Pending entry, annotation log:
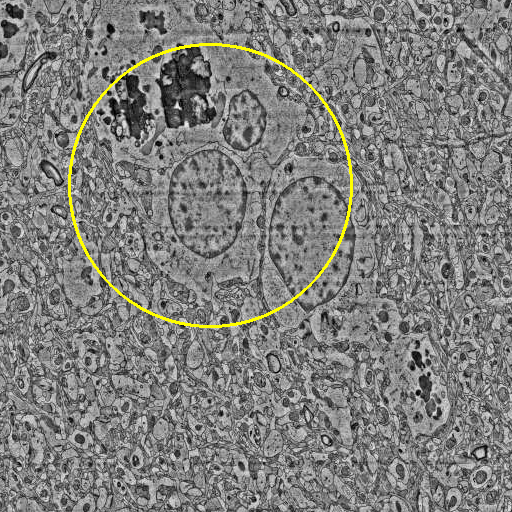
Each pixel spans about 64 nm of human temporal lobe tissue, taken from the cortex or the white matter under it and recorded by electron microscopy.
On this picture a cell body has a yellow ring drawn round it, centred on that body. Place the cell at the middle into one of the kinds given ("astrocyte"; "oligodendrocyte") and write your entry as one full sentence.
The cell body at the middle of the yellow ring belongs to an astrocyte.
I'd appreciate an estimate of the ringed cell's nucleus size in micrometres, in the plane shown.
In this plane, the nucleus is roughly 7 by 5 micrometres.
